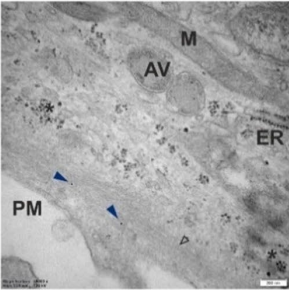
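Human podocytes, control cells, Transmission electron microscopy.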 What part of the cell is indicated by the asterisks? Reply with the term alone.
glycogen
